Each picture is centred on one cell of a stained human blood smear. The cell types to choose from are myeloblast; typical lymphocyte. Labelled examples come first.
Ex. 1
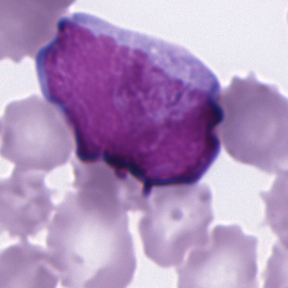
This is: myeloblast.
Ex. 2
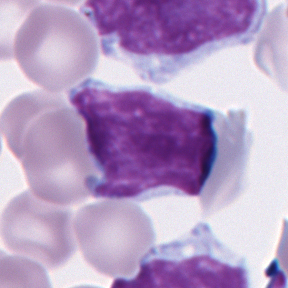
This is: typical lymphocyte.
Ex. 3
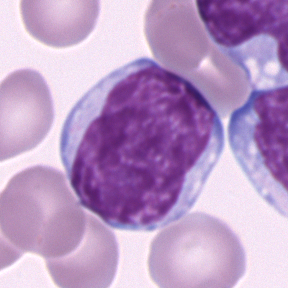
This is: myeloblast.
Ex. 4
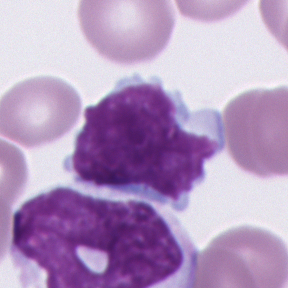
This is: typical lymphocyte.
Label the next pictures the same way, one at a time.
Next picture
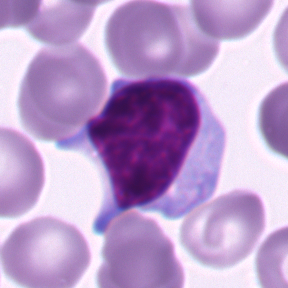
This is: typical lymphocyte.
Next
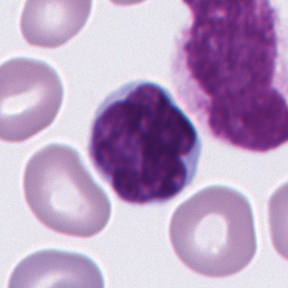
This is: typical lymphocyte.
